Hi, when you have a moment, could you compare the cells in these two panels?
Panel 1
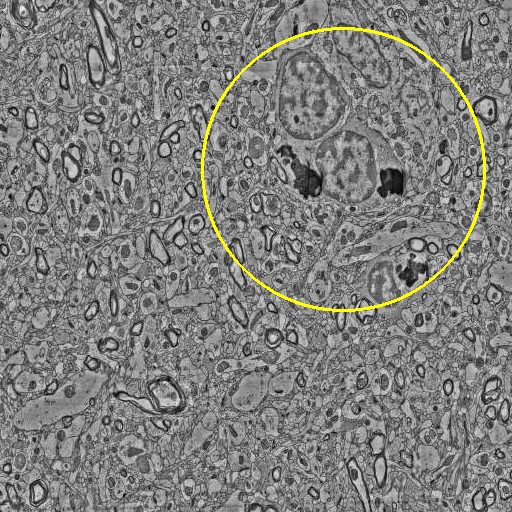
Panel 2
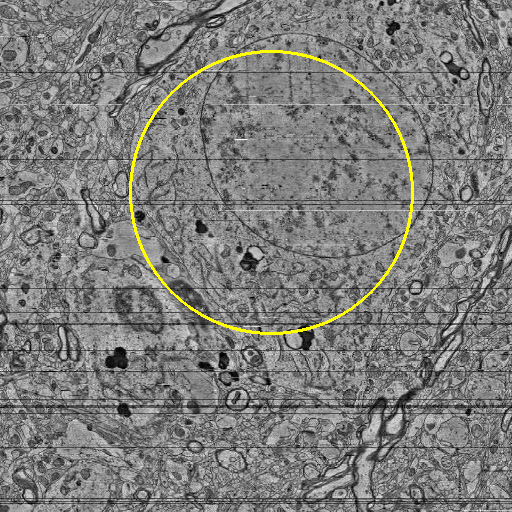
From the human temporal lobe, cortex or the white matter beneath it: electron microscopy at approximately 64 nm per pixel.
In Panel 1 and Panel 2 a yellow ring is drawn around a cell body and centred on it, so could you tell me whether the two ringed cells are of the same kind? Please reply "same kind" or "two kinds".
two kinds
